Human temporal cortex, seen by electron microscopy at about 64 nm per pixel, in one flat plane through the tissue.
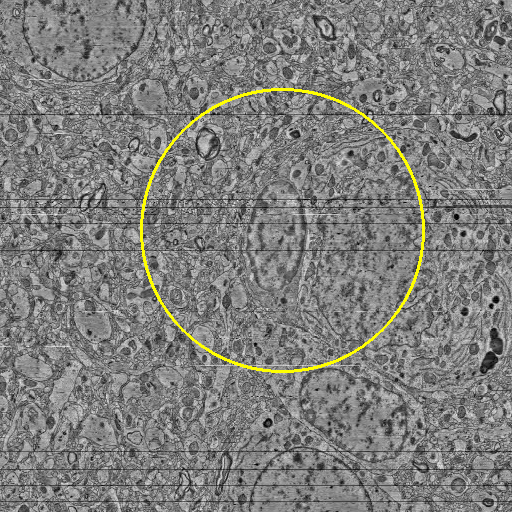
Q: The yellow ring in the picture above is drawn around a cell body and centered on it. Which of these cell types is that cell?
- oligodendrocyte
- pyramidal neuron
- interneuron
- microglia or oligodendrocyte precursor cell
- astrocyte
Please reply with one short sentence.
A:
The cell body at the ring's center belongs to an oligodendrocyte.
